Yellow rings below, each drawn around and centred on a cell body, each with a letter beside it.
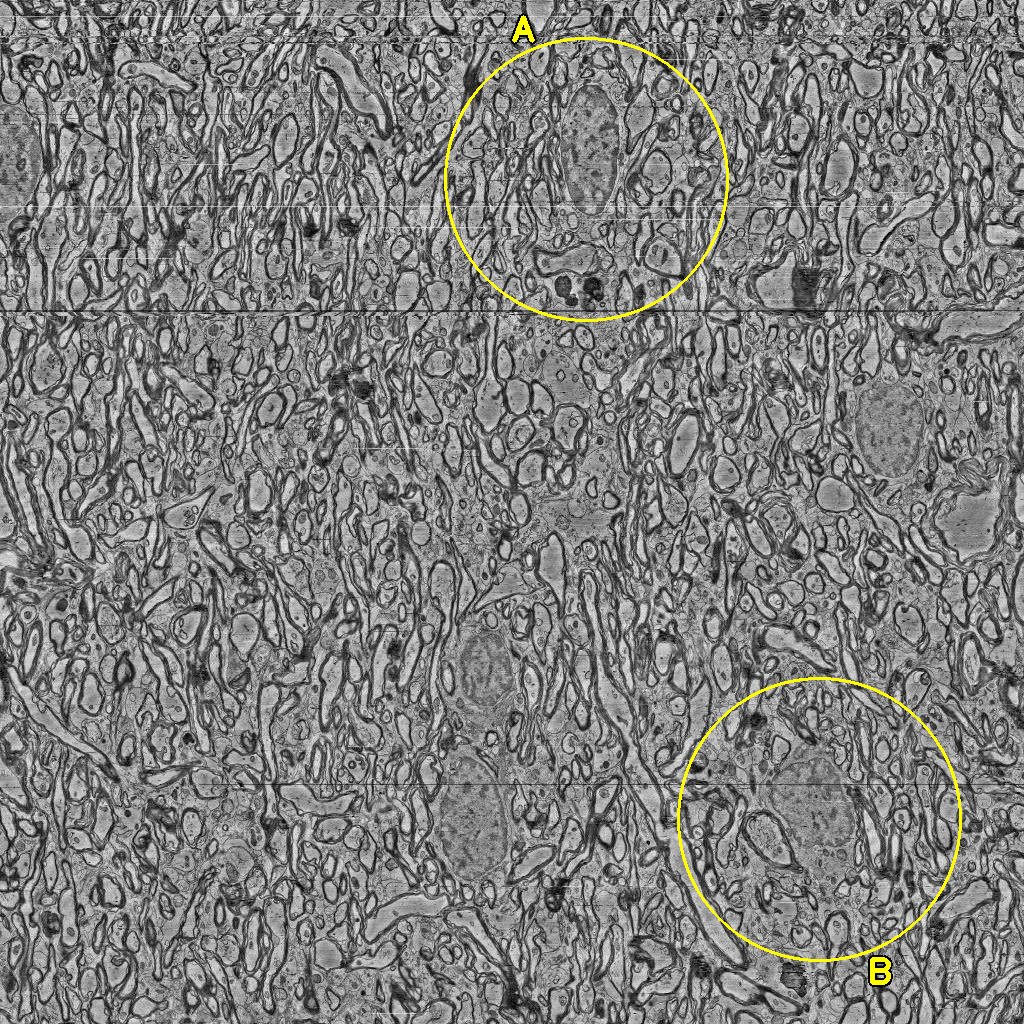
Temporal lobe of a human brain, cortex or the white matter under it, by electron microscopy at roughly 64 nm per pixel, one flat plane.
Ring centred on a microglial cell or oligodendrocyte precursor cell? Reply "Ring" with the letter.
Ring A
